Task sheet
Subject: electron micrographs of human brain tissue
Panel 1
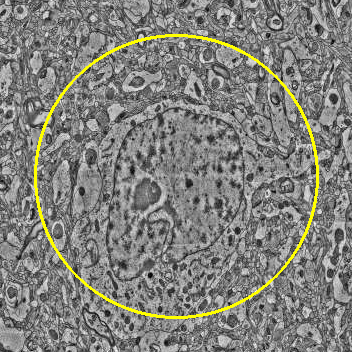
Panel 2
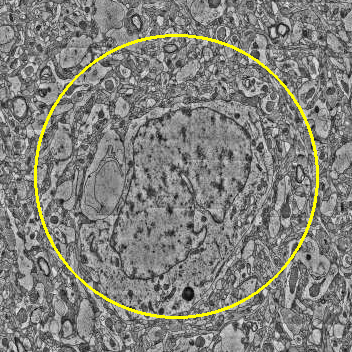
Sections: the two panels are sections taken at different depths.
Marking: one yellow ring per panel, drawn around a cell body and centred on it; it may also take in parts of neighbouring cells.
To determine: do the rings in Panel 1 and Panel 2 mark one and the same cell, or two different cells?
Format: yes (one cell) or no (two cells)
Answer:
yes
